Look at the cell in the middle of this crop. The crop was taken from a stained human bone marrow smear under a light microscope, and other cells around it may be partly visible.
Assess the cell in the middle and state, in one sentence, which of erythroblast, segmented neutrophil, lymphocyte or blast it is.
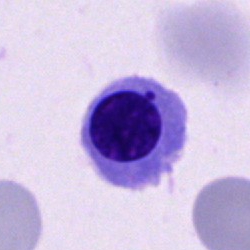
The cell of interest, in the center, is an erythroblast.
